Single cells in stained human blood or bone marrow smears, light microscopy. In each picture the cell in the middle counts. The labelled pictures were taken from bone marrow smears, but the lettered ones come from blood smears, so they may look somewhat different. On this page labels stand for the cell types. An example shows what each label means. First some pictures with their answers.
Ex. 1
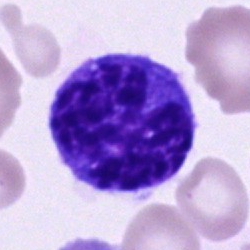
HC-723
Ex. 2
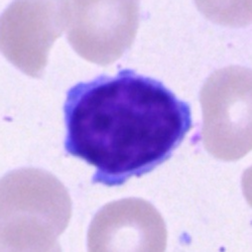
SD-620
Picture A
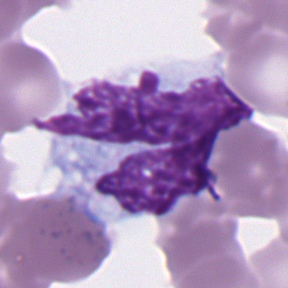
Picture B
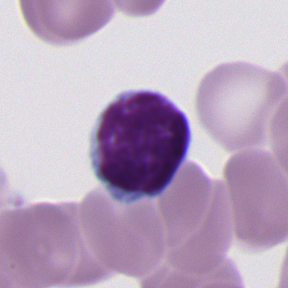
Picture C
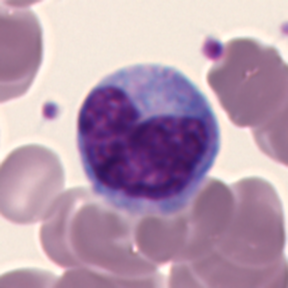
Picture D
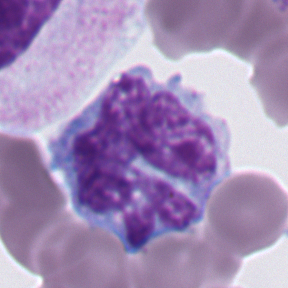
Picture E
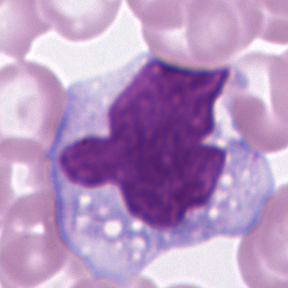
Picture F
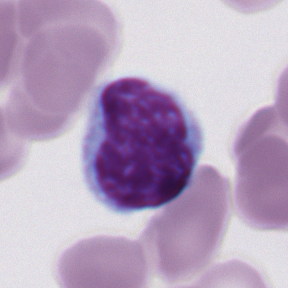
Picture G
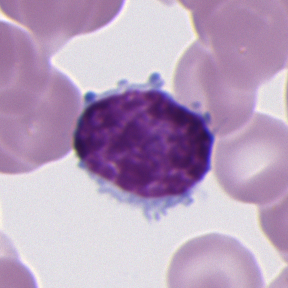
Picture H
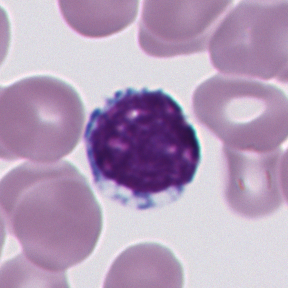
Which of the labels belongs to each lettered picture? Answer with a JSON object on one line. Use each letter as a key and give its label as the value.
{"A": "HC-723", "B": "SD-620", "C": "HC-723", "D": "HC-723", "E": "HC-723", "F": "SD-620", "G": "SD-620", "H": "SD-620"}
